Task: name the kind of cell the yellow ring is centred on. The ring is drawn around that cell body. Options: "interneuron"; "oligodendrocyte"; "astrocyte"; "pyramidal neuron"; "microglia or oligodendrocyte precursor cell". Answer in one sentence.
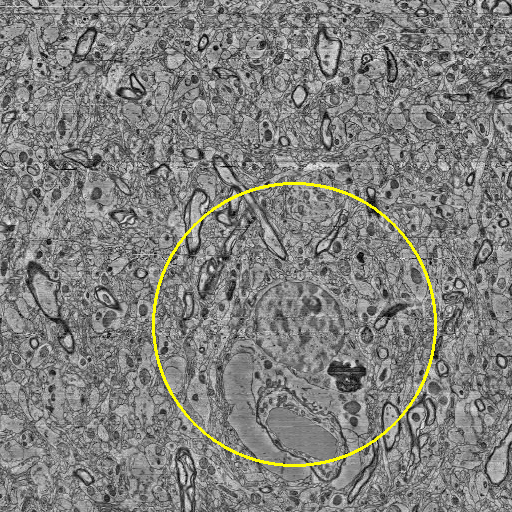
This cell body belongs to an oligodendrocyte.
